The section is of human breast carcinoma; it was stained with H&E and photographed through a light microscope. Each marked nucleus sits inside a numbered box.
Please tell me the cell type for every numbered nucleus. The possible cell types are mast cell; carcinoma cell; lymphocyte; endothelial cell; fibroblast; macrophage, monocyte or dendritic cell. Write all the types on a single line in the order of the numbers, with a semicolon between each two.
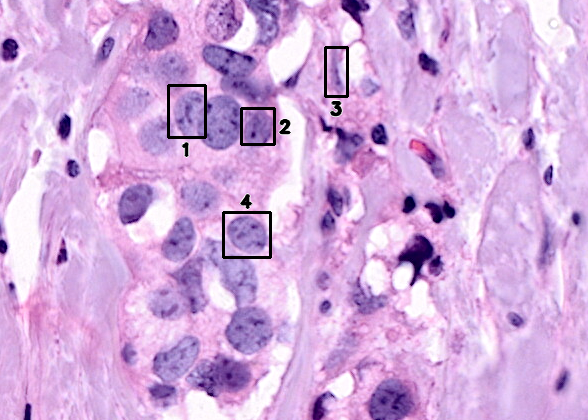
carcinoma cell; carcinoma cell; fibroblast; carcinoma cell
